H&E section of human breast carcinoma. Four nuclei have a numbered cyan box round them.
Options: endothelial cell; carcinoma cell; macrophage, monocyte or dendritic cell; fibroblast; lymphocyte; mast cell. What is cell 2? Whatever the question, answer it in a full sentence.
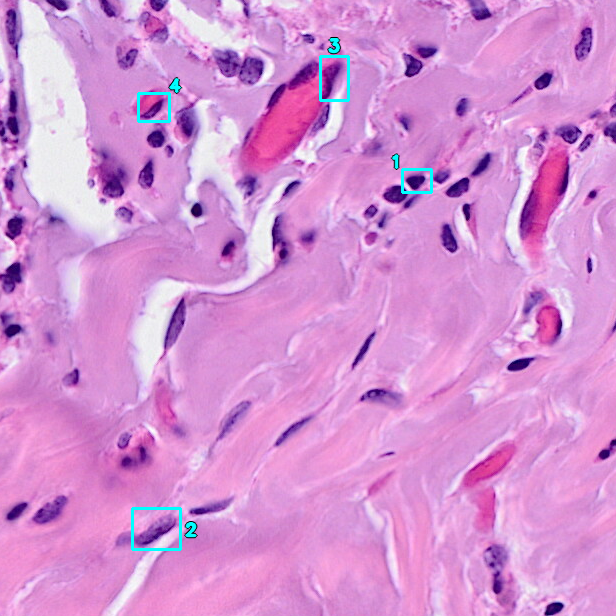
Among the marked cells, number 2 is a fibroblast.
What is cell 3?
The cell given label 3 is an endothelial cell.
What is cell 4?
Numbered cell 4 is an endothelial cell in this tissue section.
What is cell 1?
The cell that goes by number 1 is a lymphocyte.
